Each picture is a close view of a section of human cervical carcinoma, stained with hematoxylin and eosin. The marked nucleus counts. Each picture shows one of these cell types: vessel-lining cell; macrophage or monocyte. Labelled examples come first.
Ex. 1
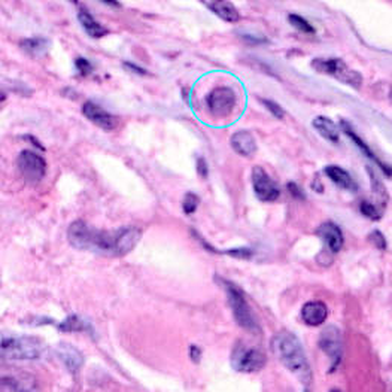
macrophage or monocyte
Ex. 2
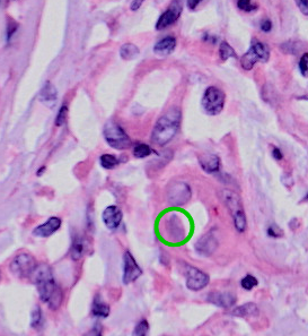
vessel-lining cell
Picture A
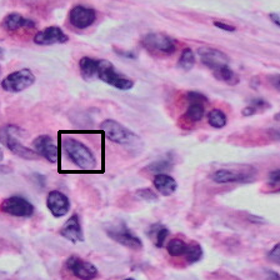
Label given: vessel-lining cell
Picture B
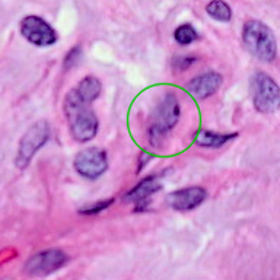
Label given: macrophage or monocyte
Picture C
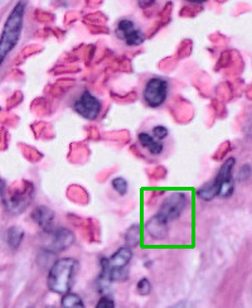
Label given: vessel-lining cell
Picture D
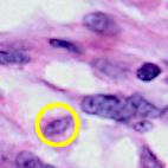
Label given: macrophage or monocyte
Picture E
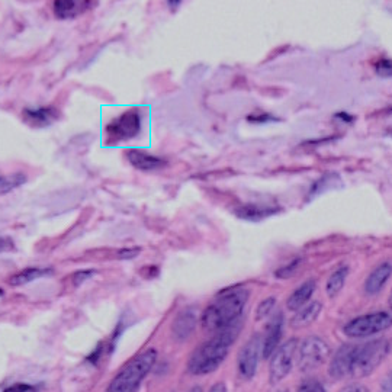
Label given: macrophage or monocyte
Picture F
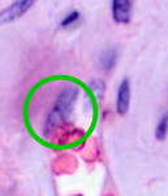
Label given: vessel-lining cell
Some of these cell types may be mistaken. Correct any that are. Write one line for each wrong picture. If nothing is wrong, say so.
B: change macrophage or monocyte to vessel-lining cell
